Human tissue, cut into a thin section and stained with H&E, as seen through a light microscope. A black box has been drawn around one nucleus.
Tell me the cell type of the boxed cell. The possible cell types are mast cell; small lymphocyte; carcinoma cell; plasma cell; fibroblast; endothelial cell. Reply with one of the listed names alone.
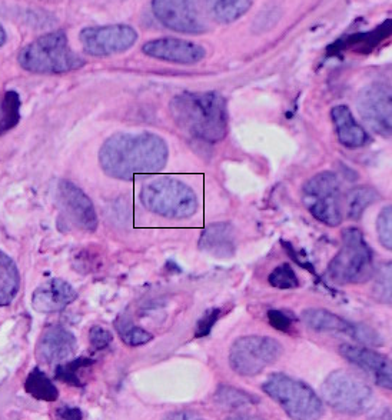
carcinoma cell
